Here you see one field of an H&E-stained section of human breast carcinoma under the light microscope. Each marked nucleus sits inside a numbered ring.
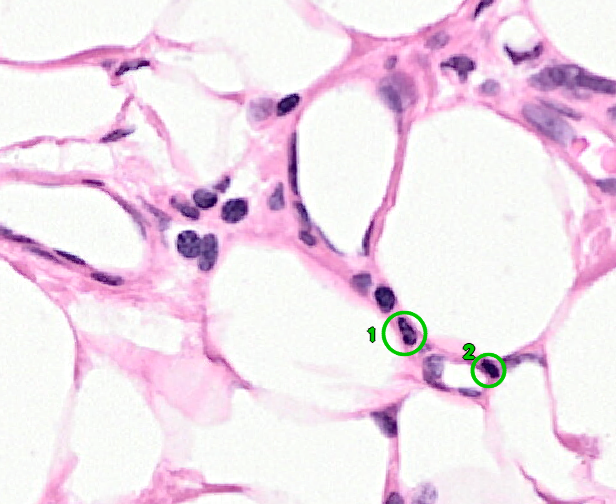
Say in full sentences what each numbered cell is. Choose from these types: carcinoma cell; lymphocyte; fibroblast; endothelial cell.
Cell 1 is a lymphocyte and cell 2 is an endothelial cell.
